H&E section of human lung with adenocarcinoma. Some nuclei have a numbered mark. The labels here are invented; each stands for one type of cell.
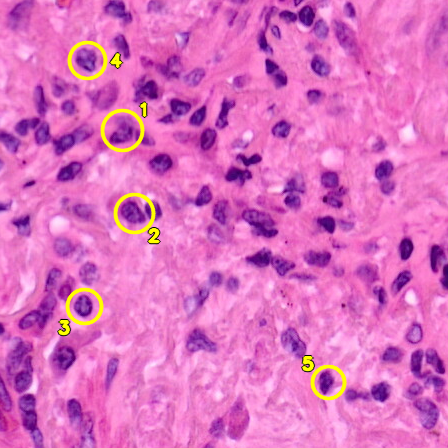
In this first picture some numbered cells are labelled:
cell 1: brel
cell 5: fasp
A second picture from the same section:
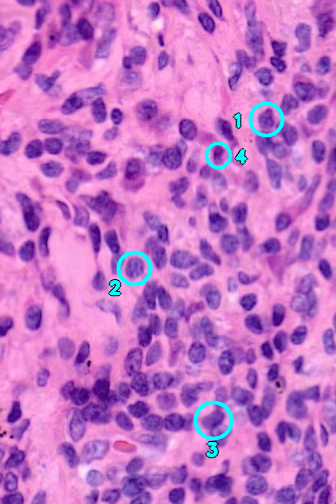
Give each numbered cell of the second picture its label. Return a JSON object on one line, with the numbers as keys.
{"1": "fasp", "2": "fasp", "3": "fasp", "4": "brel"}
